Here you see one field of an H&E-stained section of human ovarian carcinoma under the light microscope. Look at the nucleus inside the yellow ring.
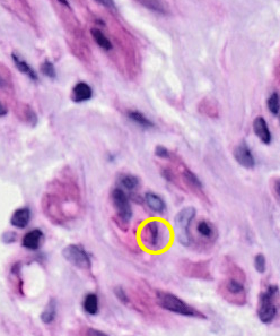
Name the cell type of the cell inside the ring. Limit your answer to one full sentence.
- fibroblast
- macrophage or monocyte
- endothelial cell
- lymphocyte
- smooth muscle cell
In this section of tissue, the cell inside the ring is an endothelial cell.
